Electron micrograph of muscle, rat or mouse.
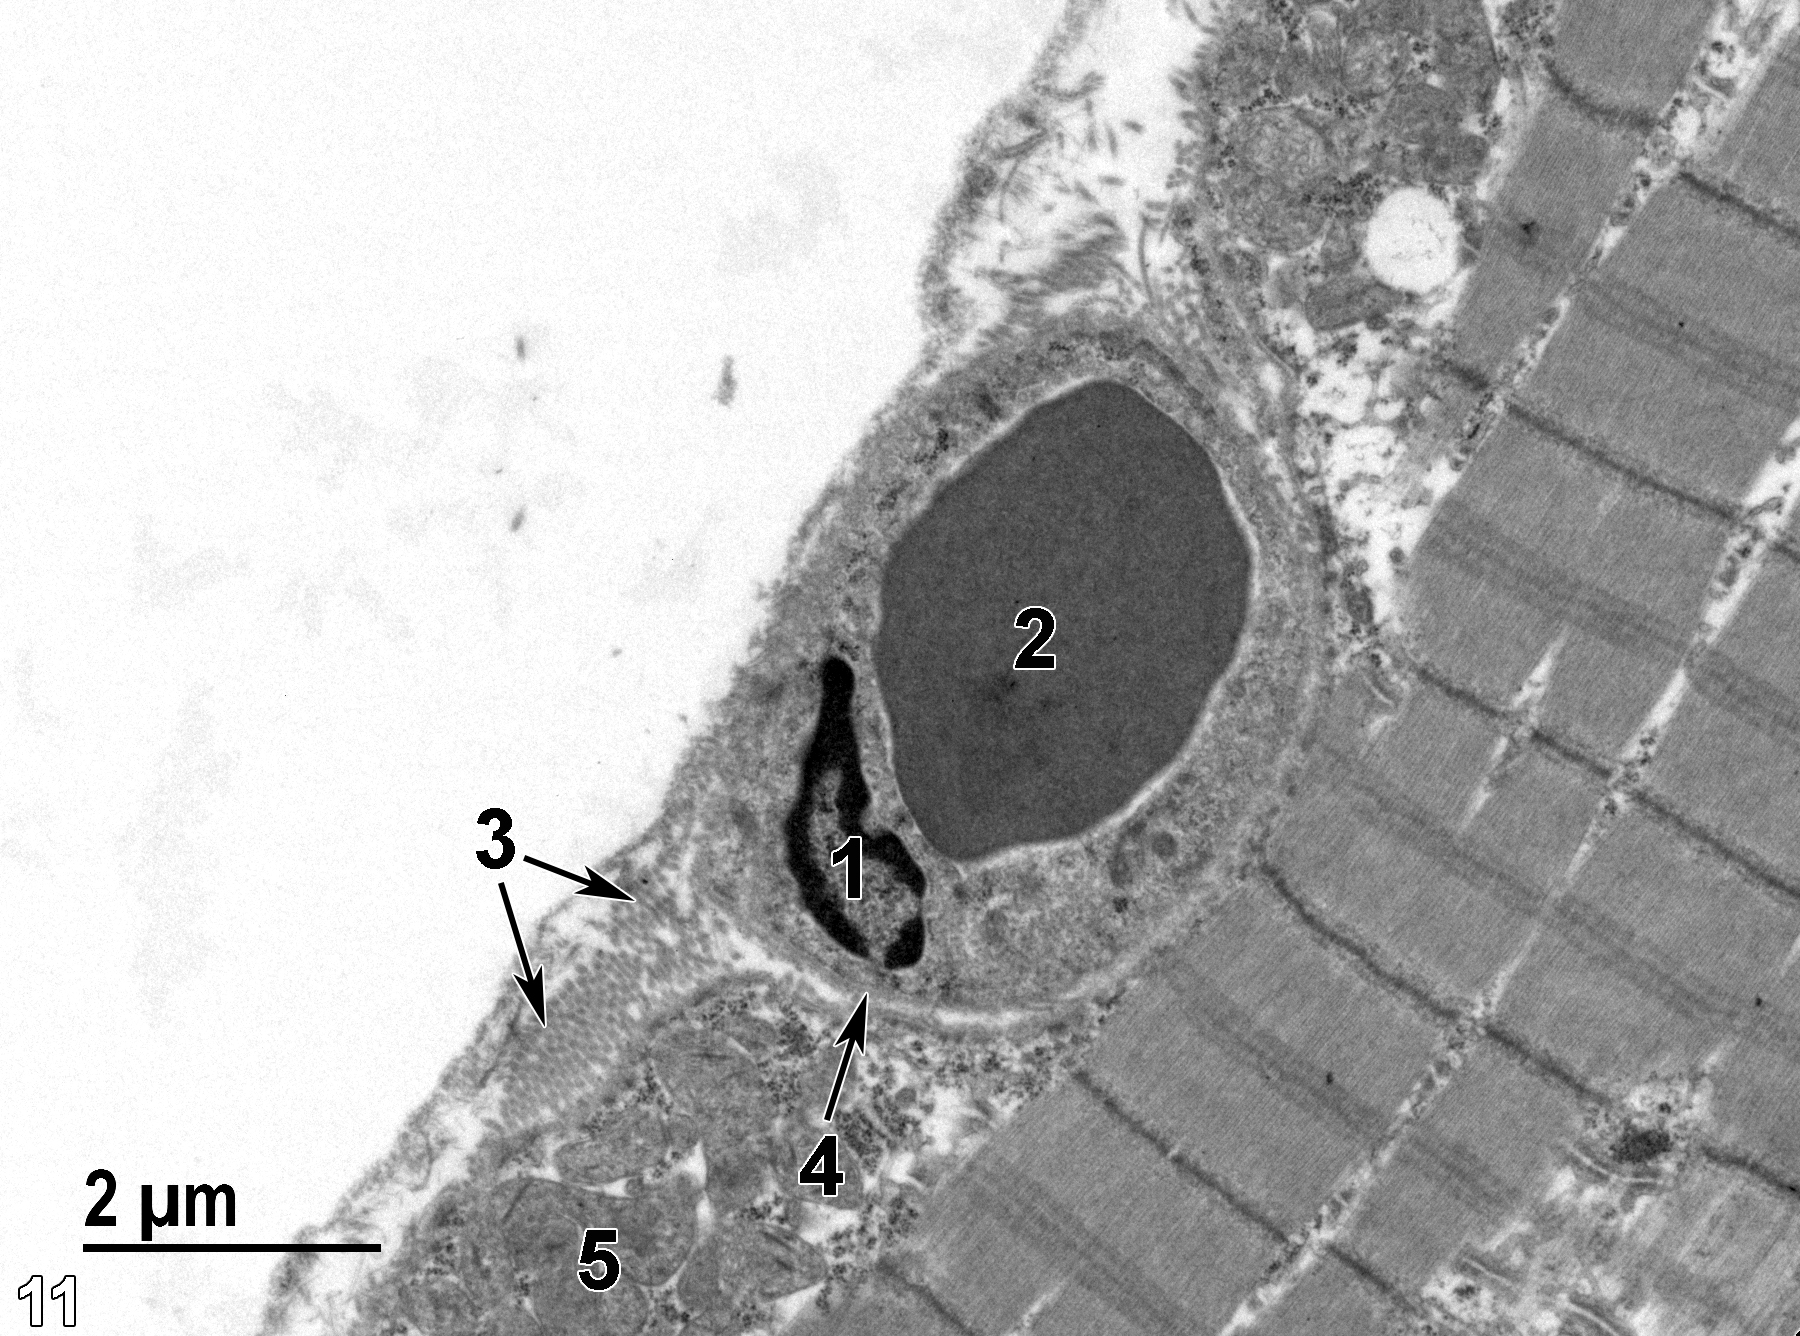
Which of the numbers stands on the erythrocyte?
Number 2.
